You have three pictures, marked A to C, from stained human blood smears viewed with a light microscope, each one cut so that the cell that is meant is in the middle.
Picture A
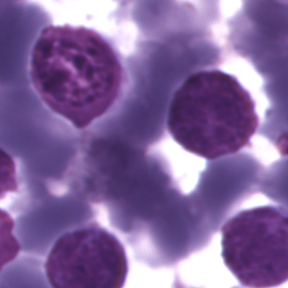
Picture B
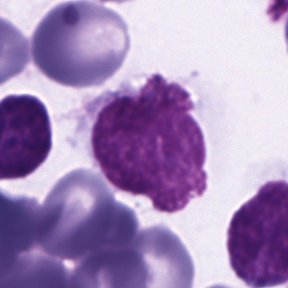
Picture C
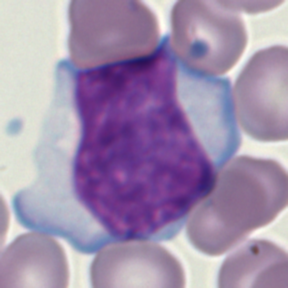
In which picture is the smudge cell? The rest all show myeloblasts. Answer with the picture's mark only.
B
